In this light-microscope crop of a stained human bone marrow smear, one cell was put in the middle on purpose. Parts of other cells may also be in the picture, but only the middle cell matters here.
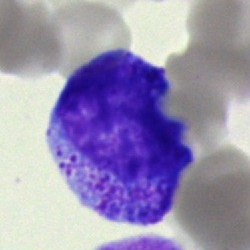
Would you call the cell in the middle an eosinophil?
no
